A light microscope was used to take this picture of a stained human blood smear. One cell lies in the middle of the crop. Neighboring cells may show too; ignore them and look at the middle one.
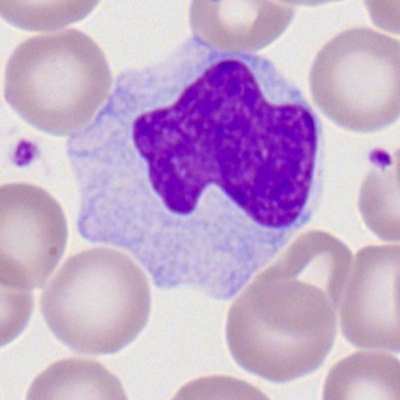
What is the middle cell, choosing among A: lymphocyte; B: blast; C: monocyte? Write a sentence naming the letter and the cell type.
Option C holds, for the cell in the middle is a monocyte.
